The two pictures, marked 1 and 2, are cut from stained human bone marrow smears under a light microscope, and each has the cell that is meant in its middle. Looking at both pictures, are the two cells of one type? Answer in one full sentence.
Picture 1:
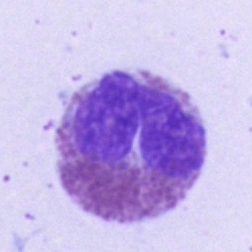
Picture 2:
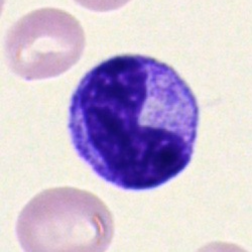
No, they differ: the cell is an eosinophil in picture 1 and a band neutrophil in picture 2.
